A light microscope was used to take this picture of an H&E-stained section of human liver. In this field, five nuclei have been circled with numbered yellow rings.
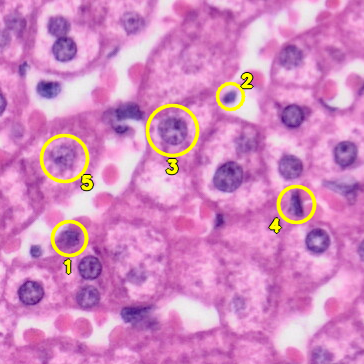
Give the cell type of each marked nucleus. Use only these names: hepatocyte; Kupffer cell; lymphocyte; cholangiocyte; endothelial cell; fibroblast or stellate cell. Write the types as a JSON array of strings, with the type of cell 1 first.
["Kupffer cell", "lymphocyte", "hepatocyte", "endothelial cell", "hepatocyte"]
